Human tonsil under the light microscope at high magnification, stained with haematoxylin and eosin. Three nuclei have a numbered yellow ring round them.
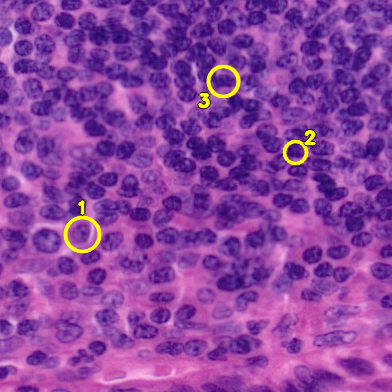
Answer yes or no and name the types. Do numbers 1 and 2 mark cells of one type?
No, cell 1 is a plasma cell and cell 2 is a small lymphocyte.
